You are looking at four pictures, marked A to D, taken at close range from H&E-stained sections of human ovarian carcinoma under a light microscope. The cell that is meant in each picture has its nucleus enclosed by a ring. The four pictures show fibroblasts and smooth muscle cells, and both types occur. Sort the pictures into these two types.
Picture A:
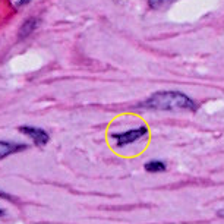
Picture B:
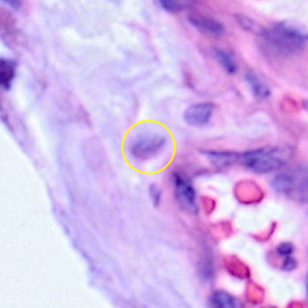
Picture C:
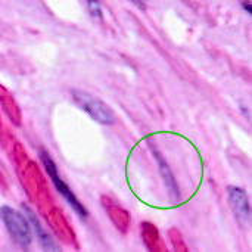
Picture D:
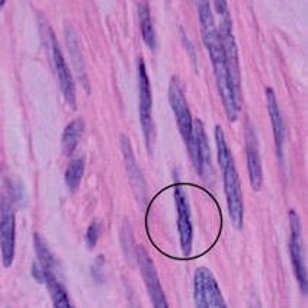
A: fibroblast
B: fibroblast
C: fibroblast
D: smooth muscle cell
